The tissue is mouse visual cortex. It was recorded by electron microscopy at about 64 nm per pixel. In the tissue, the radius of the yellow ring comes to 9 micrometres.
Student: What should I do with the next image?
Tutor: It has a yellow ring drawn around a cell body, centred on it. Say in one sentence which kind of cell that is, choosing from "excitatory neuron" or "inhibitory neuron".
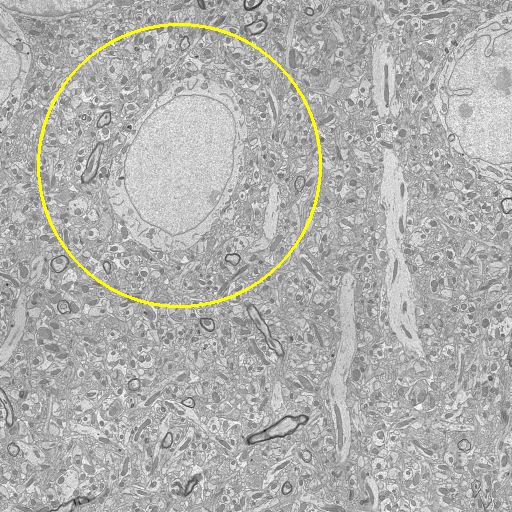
The ring's centre is occupied by an excitatory neuron.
